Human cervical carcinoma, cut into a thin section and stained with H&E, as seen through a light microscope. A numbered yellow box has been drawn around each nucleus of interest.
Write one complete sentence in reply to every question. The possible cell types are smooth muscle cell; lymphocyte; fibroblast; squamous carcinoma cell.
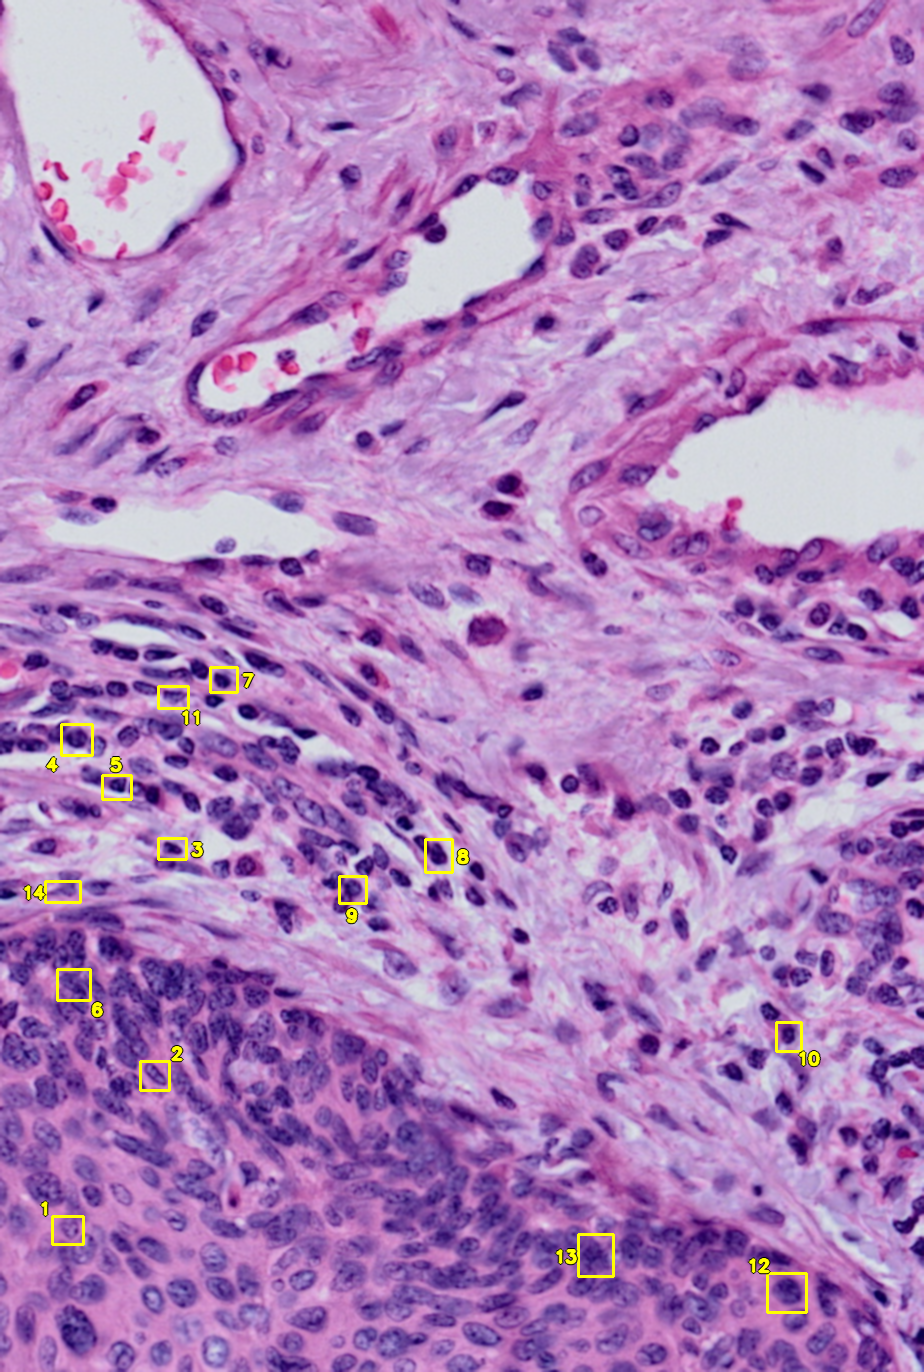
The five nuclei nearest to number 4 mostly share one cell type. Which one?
Of the five nuclei nearest to number 4, most belong to lymphocytes.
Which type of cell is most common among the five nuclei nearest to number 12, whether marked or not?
Of the five nuclei nearest to number 12, most belong to squamous carcinoma cells.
